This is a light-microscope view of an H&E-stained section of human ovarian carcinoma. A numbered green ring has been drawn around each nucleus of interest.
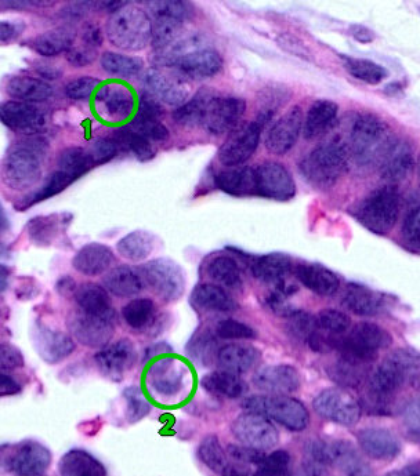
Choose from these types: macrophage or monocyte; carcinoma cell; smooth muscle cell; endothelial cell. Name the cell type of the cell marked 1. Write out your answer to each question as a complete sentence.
Cell 1 of the marked set is a carcinoma cell.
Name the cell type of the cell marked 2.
In the marked set, the cell given number 2 is a macrophage or monocyte.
